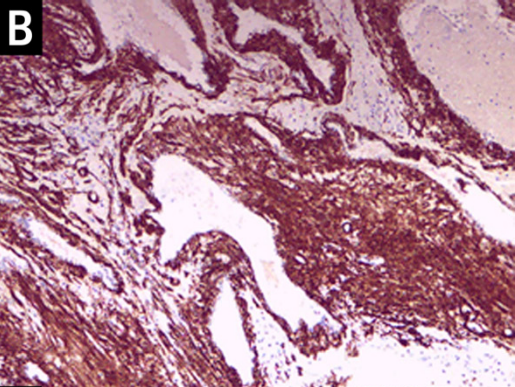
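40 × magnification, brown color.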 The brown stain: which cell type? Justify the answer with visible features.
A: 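Dense brown staining in elongated, streaming cells arranged in fascicles. The brown cells wrap around open spaces.
Hence: spindle cells.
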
